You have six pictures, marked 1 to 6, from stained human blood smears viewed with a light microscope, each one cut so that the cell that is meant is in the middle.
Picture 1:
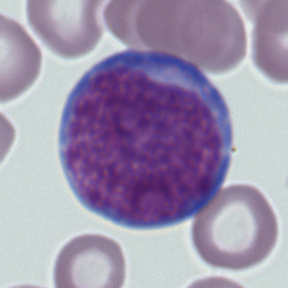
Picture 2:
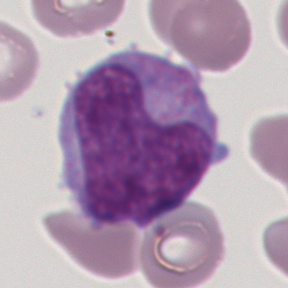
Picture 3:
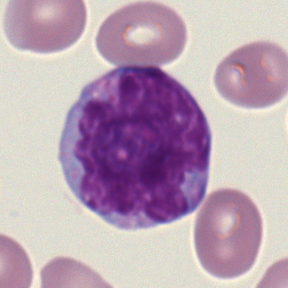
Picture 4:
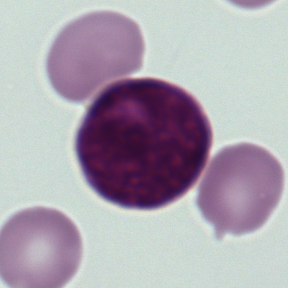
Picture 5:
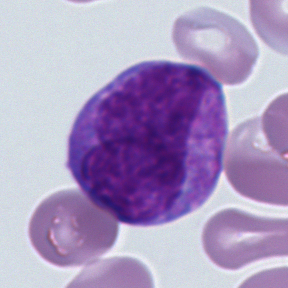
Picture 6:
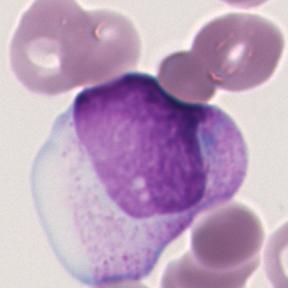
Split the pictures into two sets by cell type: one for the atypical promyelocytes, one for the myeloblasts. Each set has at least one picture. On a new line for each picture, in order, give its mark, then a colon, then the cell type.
1: myeloblast
2: atypical promyelocyte
3: atypical promyelocyte
4: myeloblast
5: atypical promyelocyte
6: atypical promyelocyte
